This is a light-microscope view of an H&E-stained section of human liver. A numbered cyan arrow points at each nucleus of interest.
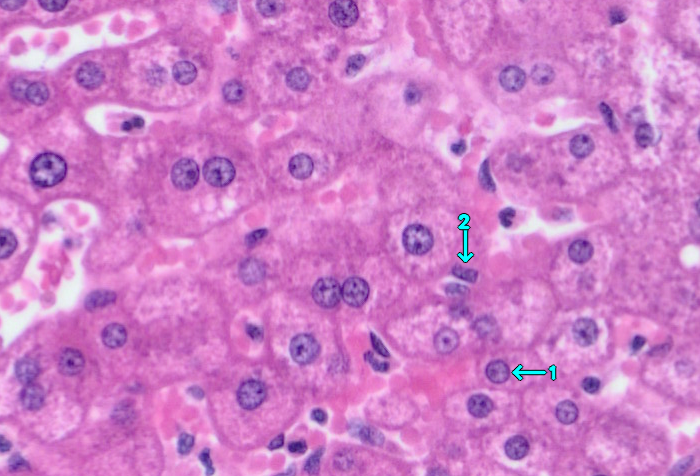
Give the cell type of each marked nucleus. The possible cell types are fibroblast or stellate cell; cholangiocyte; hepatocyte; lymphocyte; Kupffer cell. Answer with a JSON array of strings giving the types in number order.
["hepatocyte", "fibroblast or stellate cell"]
